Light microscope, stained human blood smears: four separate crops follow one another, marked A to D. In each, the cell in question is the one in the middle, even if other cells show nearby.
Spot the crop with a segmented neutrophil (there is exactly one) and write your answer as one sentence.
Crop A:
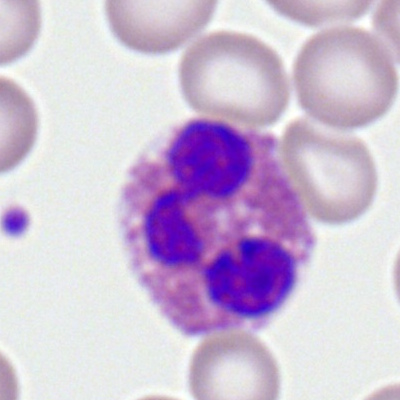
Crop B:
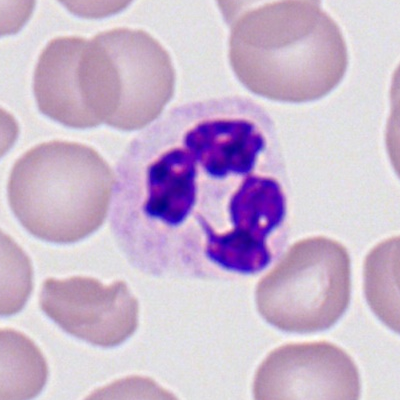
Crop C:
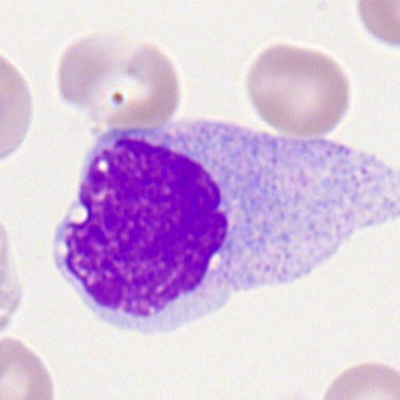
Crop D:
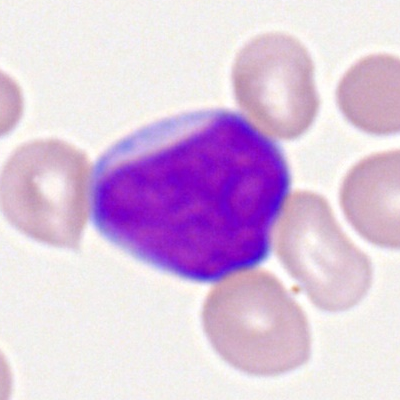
Among the crops given, only crop B shows a segmented neutrophil.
